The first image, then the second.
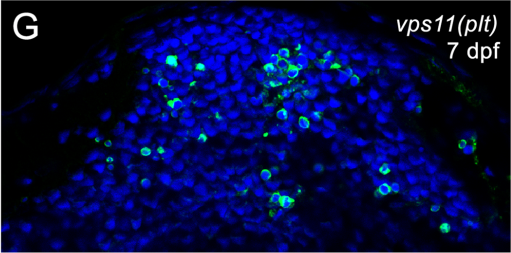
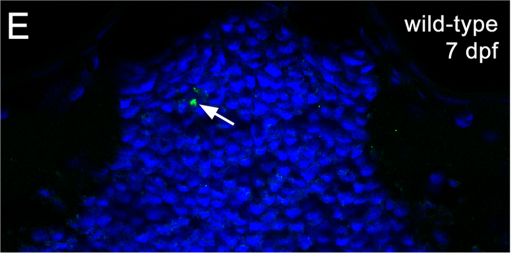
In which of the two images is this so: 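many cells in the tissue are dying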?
the first image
